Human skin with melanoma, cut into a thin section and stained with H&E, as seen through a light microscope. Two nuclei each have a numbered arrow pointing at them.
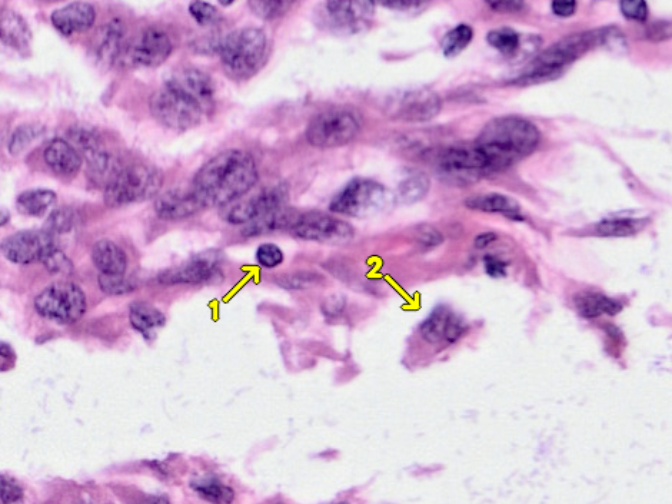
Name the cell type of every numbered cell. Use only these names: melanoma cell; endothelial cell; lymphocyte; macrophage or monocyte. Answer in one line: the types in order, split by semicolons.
lymphocyte; melanoma cell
